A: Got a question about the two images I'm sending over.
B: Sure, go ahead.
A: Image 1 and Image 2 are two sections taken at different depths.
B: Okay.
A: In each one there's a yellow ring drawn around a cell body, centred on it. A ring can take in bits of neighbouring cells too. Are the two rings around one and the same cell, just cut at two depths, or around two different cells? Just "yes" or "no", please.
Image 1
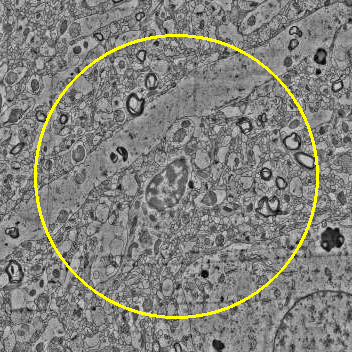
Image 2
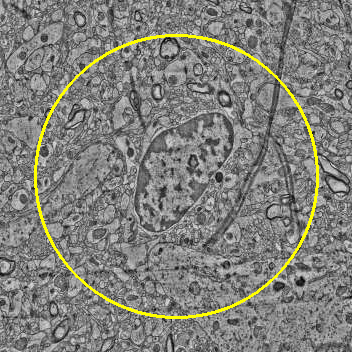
yes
